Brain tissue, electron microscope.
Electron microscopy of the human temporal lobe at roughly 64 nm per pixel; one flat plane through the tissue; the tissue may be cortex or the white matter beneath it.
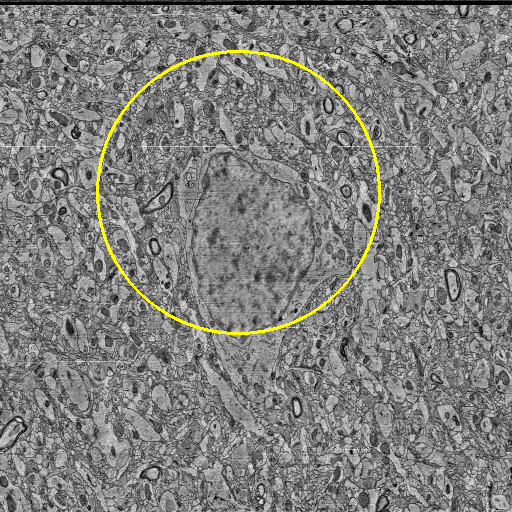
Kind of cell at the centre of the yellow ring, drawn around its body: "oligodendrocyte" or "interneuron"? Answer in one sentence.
The ring's centre falls on an interneuron.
